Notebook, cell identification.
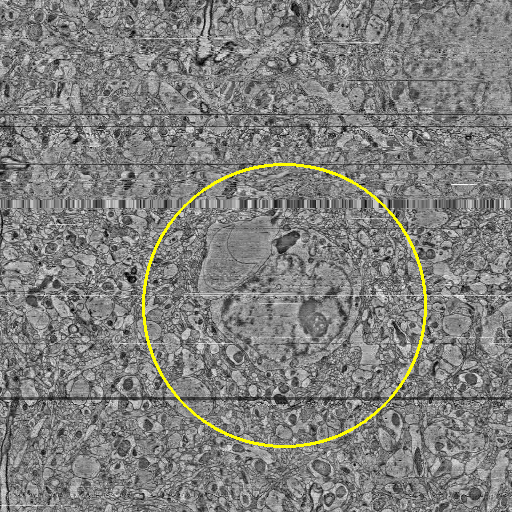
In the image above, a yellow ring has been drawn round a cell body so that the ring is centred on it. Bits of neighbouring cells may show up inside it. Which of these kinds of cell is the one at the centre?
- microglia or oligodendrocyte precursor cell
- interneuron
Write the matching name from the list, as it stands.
interneuron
